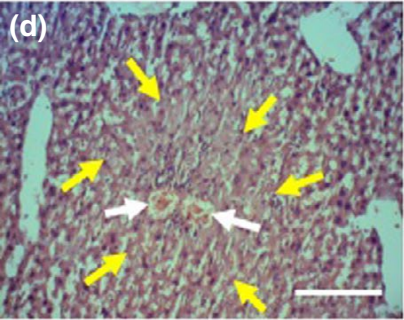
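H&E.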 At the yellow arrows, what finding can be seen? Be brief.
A: Necrotic zone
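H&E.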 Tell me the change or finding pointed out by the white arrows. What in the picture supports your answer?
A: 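Vascular congestion. The small vessels between the white arrows contain red-staining blood cells.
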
